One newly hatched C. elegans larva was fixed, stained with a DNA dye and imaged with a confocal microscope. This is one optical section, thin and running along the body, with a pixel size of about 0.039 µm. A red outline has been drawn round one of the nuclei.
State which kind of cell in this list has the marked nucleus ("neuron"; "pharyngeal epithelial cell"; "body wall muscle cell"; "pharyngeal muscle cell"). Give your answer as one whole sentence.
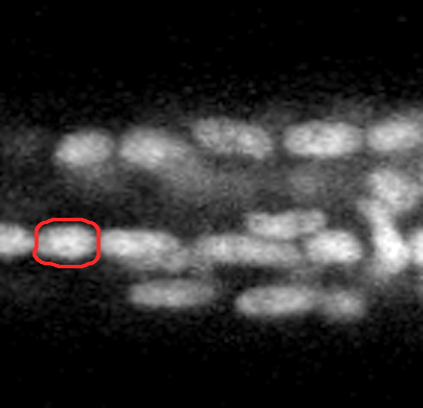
The marked nucleus is that of a pharyngeal muscle cell.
